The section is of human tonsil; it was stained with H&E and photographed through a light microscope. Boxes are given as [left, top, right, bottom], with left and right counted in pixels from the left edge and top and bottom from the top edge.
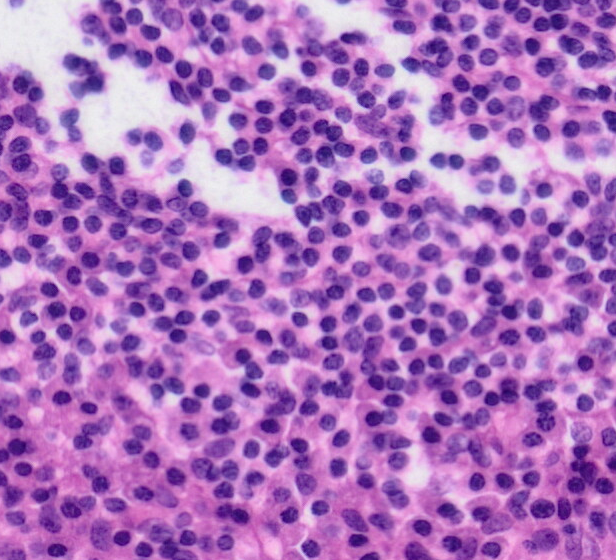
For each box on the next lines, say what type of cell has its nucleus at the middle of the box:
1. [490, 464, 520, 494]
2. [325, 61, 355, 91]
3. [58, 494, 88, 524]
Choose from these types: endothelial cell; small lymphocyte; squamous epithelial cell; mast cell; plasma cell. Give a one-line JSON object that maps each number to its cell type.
{"1": "plasma cell", "2": "small lymphocyte", "3": "plasma cell"}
